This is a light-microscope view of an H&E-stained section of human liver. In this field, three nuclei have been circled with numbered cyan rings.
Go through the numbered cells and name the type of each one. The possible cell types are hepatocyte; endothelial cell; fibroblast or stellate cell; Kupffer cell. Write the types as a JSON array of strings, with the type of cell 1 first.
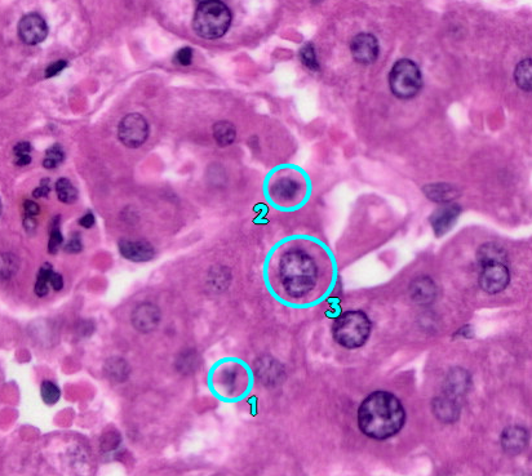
["endothelial cell", "fibroblast or stellate cell", "hepatocyte"]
